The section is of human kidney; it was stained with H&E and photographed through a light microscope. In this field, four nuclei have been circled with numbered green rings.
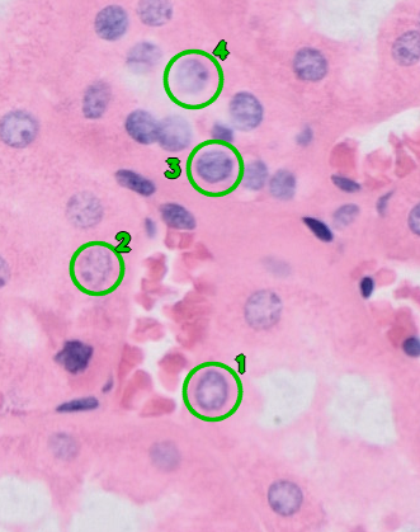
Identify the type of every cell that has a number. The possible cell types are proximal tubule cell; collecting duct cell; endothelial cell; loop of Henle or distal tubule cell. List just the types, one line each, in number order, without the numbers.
proximal tubule cell
proximal tubule cell
loop of Henle or distal tubule cell
loop of Henle or distal tubule cell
